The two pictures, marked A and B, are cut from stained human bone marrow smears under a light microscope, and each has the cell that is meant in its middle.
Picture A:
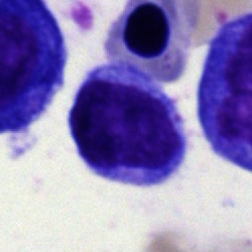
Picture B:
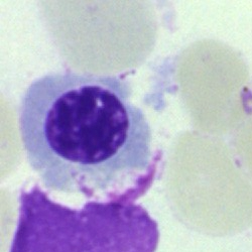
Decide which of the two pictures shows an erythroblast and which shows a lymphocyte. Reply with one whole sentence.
The cell in picture A is a lymphocyte, and the one in picture B is an erythroblast.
